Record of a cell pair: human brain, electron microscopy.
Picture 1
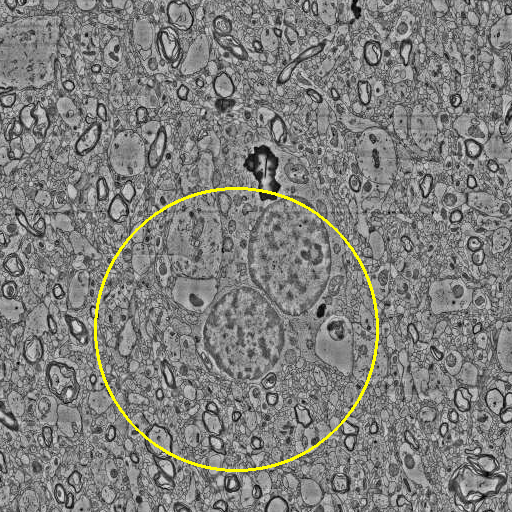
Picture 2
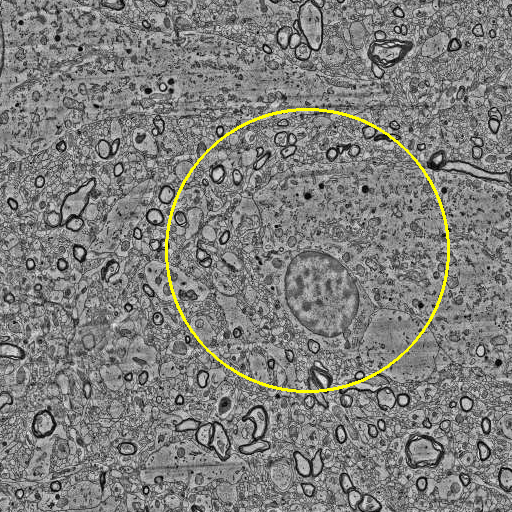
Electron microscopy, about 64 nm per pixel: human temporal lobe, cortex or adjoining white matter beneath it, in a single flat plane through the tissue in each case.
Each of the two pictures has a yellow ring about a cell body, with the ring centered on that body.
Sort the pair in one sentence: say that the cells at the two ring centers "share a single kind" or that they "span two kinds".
The cells centered in the rings of Pictures 1 and 2 share a single kind.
